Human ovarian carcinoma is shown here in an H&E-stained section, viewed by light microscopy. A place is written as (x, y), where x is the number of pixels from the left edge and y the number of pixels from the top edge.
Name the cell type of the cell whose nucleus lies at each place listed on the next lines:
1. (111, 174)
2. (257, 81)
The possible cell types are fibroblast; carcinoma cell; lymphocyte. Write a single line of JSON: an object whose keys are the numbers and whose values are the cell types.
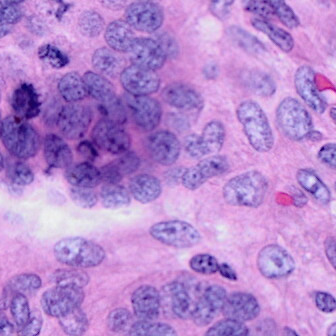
{"1": "carcinoma cell", "2": "fibroblast"}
